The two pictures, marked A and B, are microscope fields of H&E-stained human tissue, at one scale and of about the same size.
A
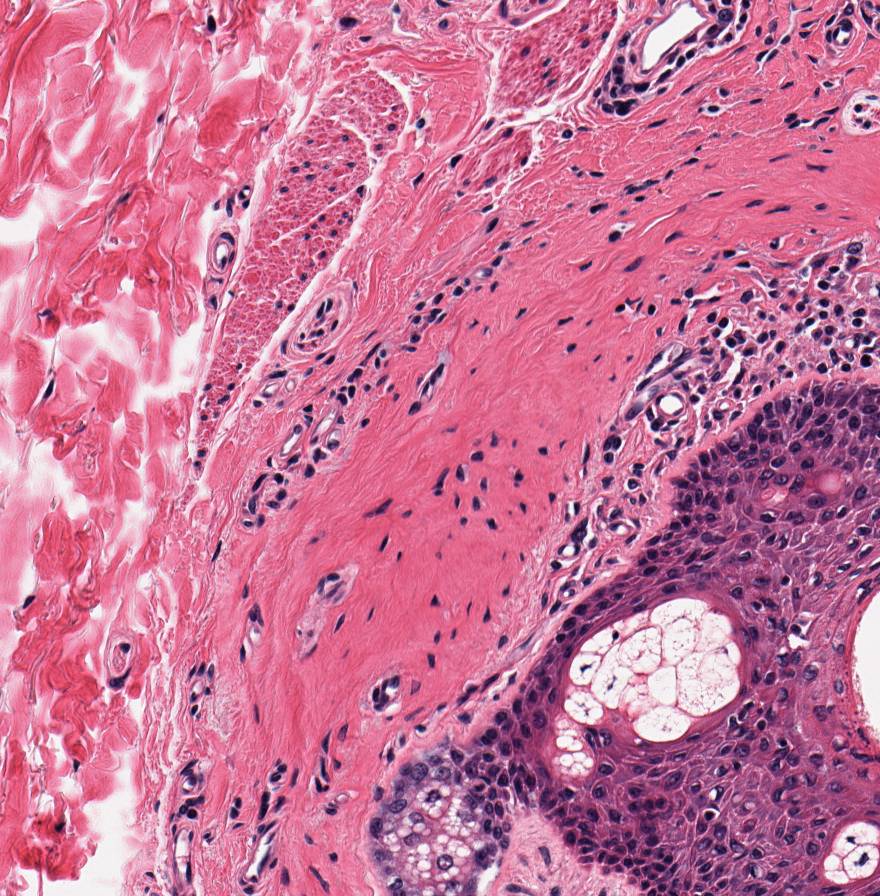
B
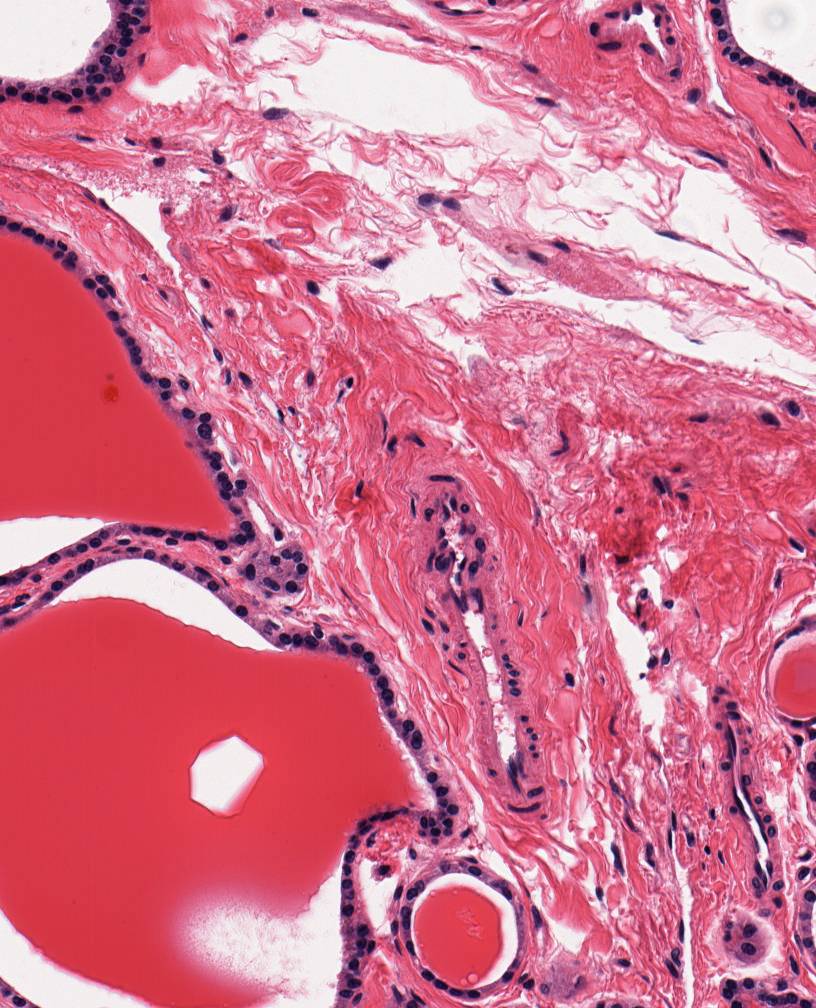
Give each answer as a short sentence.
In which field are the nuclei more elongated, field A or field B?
On the whole the nuclei of field B are more drawn out than those of field A.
